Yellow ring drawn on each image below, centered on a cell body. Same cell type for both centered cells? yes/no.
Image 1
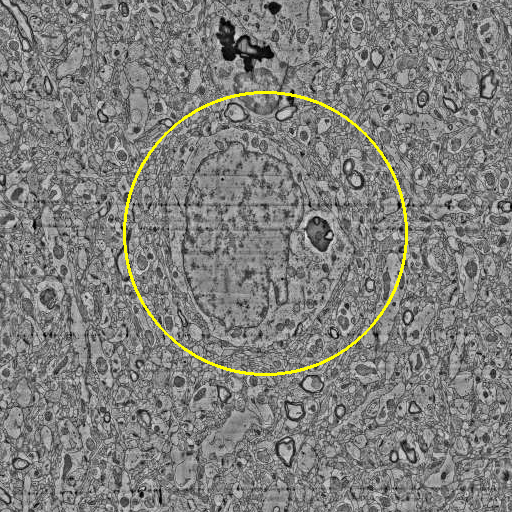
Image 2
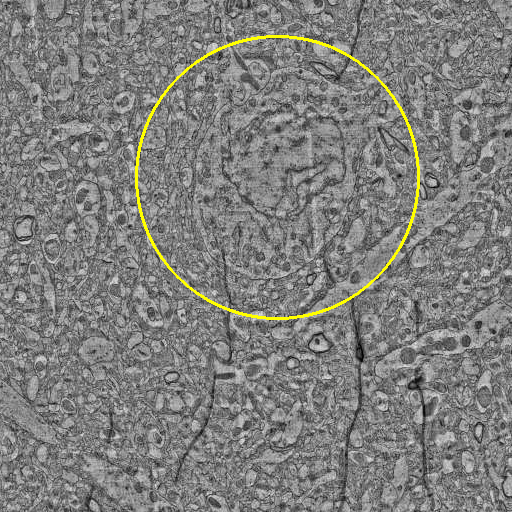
yes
